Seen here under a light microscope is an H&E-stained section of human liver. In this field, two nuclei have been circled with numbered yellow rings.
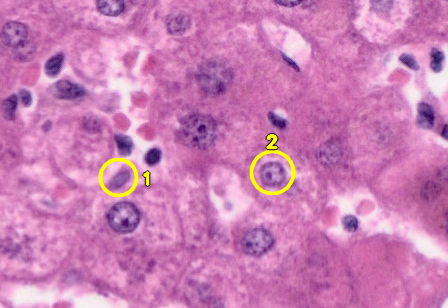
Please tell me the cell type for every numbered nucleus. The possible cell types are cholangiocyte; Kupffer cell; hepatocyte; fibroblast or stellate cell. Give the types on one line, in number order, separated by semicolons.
Kupffer cell; hepatocyte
